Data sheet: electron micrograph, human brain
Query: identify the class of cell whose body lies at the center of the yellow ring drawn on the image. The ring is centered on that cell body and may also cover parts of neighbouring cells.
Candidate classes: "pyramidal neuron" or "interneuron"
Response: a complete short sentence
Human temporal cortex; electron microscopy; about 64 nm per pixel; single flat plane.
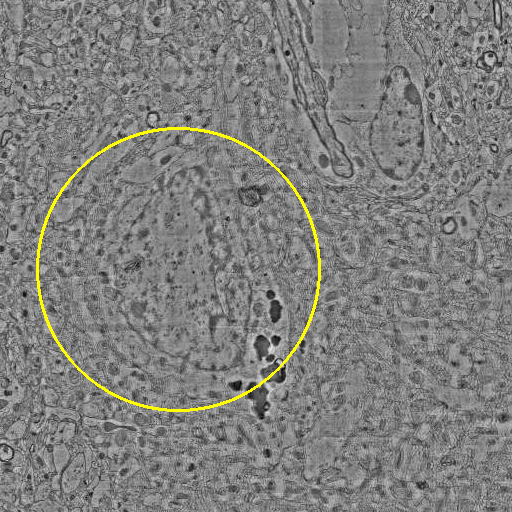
At the center of the ring lies an interneuron.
